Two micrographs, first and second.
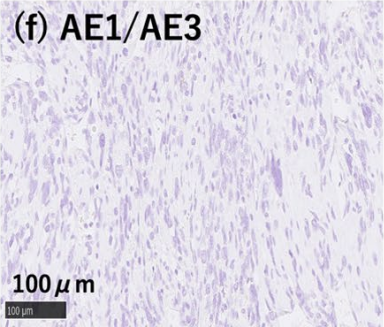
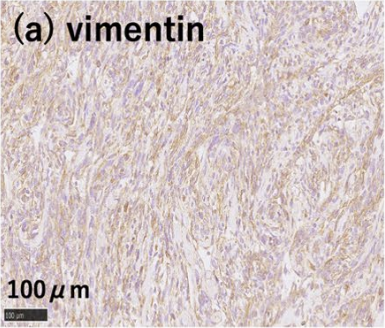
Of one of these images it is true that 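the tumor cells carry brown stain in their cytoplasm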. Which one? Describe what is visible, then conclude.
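First image: the spindle-shaped cells show only blue nuclei and pale cytoplasm, with no brown colour. Second image: brown stain runs along the elongated cell bodies throughout the field.
Answer: the second image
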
